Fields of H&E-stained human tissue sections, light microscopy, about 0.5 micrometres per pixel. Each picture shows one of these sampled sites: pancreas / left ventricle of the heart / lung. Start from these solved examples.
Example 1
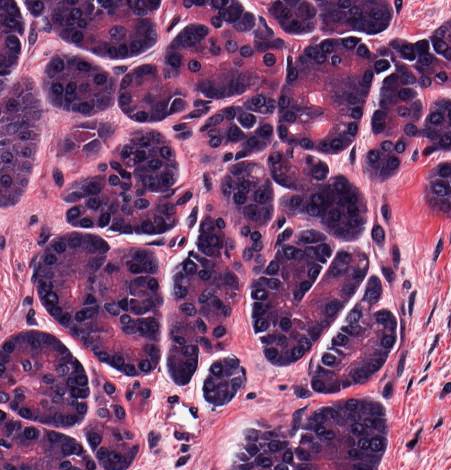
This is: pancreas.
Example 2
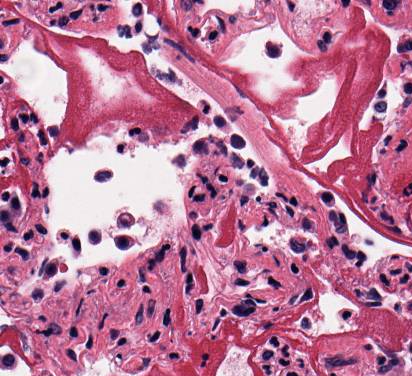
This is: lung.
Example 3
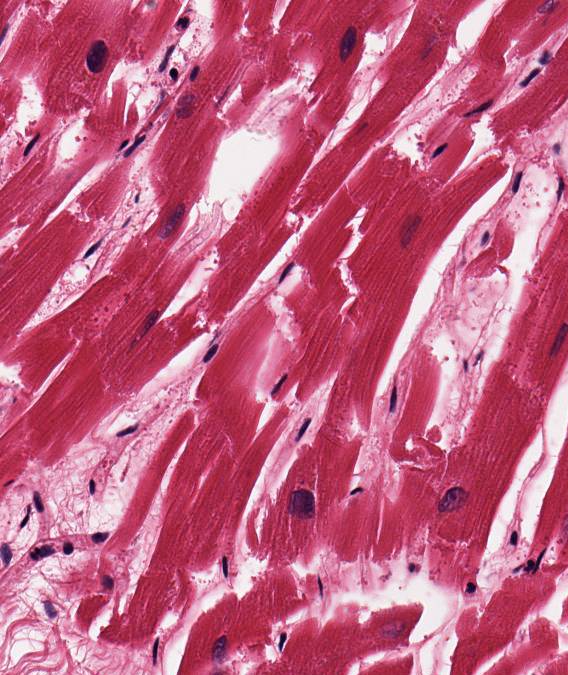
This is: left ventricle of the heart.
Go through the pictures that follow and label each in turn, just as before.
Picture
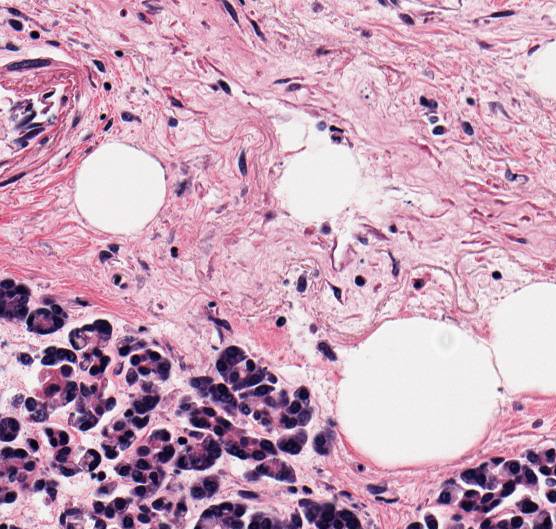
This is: pancreas.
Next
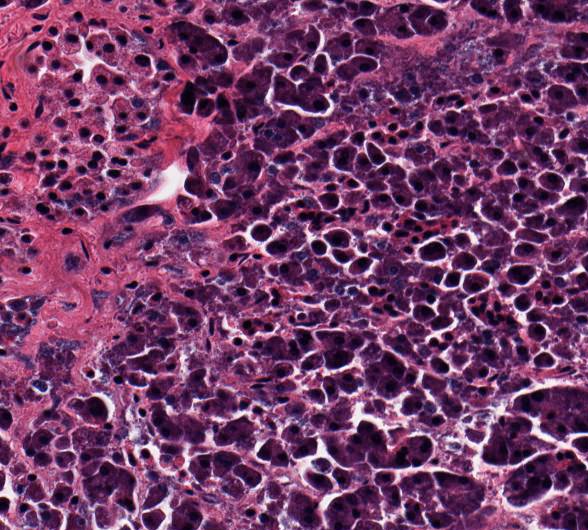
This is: pancreas.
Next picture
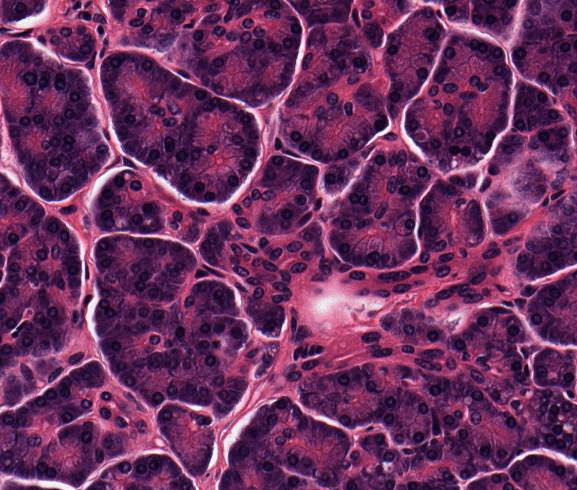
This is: pancreas.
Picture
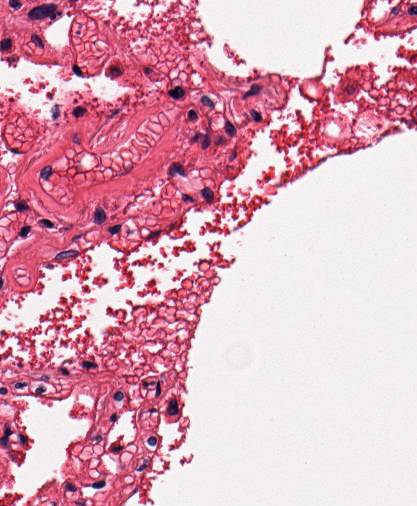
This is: lung.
